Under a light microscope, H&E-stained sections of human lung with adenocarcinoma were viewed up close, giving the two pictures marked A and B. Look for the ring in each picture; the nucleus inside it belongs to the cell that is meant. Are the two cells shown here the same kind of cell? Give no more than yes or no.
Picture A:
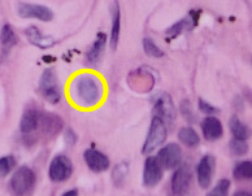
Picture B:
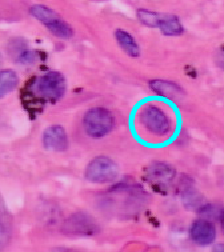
yes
